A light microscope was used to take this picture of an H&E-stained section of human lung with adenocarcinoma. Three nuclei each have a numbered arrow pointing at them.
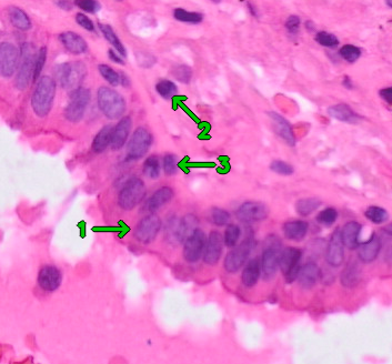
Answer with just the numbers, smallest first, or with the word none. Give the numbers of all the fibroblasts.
none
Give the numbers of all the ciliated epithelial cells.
1, 3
